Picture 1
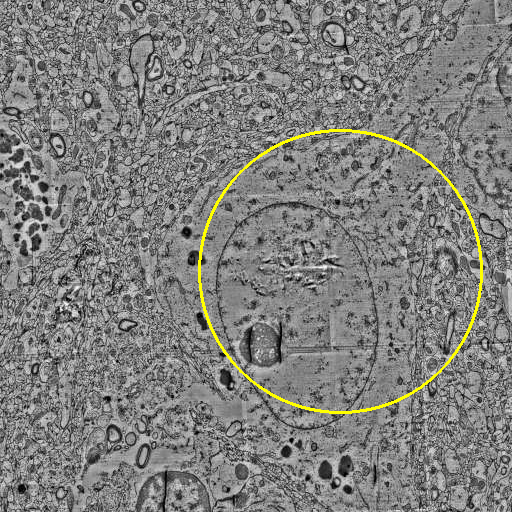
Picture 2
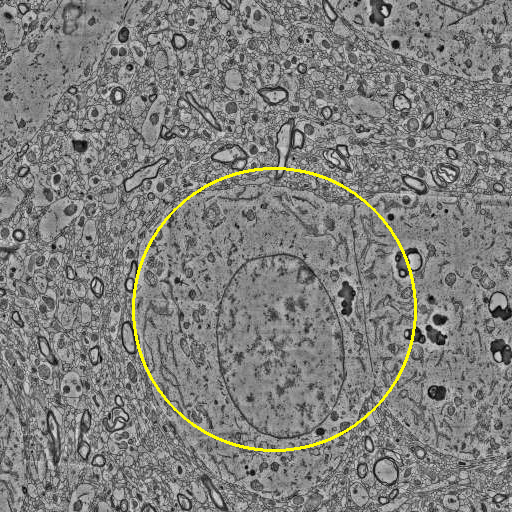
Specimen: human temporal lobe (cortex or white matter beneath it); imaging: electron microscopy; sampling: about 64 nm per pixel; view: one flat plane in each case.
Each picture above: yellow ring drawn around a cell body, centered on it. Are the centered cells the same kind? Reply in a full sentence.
Yes, the two cells are the same kind.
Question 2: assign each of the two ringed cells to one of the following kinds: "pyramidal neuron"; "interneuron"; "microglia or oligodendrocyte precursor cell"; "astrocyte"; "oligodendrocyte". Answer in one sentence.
The cell in the first picture is a pyramidal neuron, and so is the one in the second.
